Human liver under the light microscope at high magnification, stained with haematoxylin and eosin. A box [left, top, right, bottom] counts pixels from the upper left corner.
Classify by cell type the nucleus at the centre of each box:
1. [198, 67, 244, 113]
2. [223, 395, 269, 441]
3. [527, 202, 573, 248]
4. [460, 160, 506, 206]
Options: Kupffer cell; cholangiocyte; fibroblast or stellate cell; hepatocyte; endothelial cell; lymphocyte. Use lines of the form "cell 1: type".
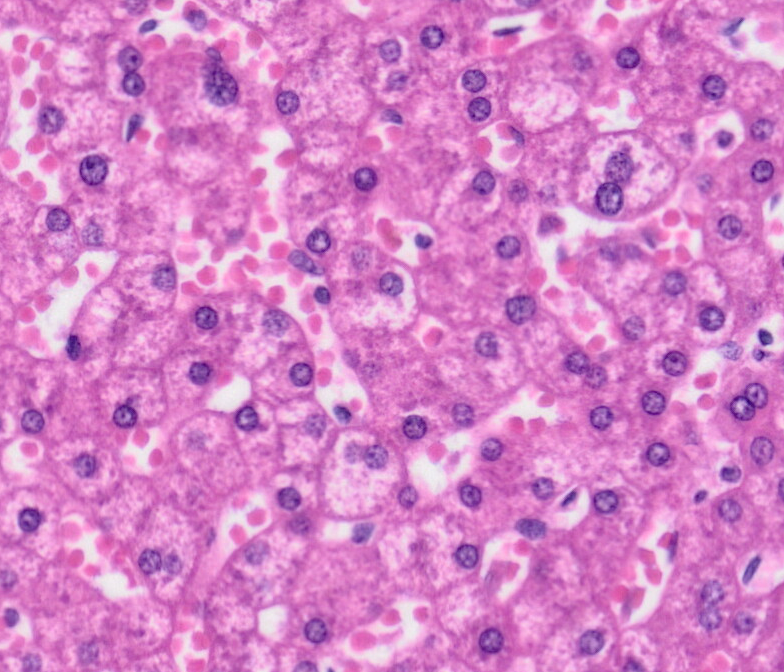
cell 1: hepatocyte
cell 2: hepatocyte
cell 3: Kupffer cell
cell 4: hepatocyte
